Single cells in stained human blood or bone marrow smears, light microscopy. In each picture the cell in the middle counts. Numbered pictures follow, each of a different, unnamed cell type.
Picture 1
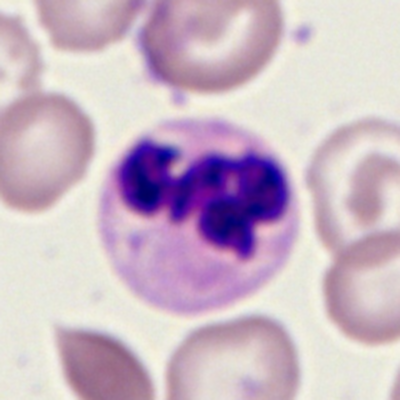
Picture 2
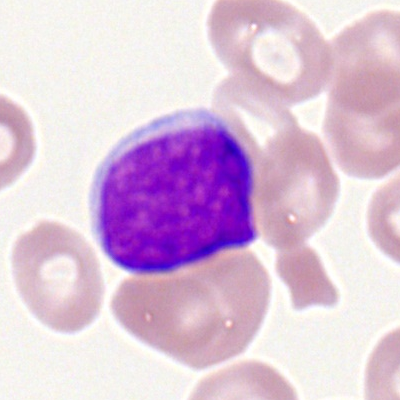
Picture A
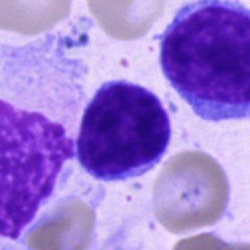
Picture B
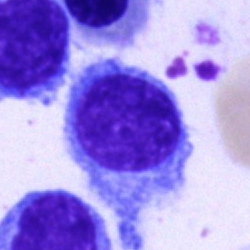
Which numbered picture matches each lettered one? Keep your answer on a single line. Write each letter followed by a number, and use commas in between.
A 2, B 2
